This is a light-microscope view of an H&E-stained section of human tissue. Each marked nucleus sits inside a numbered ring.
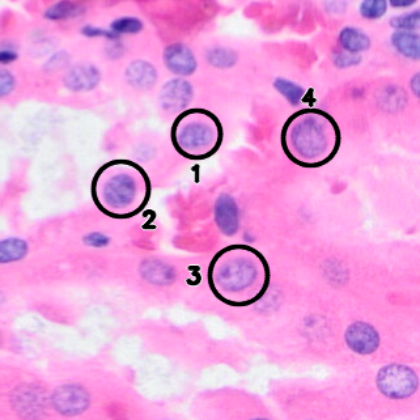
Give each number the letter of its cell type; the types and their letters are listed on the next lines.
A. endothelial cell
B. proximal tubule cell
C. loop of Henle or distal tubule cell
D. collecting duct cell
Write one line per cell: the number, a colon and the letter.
1: C
2: C
3: B
4: B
